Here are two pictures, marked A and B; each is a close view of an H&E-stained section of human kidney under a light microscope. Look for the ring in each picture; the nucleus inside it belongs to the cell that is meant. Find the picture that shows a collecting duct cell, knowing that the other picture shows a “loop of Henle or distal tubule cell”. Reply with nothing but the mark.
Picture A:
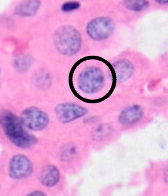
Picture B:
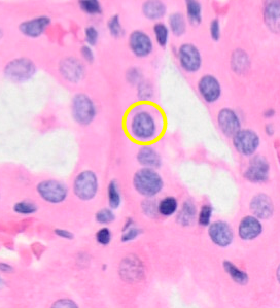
B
